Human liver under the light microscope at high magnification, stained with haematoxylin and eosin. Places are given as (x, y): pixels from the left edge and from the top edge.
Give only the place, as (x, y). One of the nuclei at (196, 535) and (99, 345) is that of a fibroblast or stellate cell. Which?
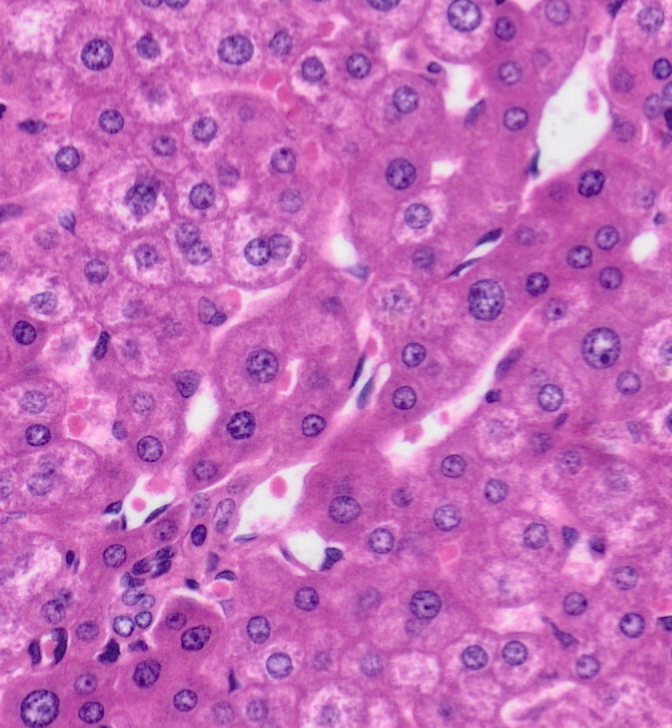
(99, 345)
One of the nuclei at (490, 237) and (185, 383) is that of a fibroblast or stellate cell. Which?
(490, 237)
